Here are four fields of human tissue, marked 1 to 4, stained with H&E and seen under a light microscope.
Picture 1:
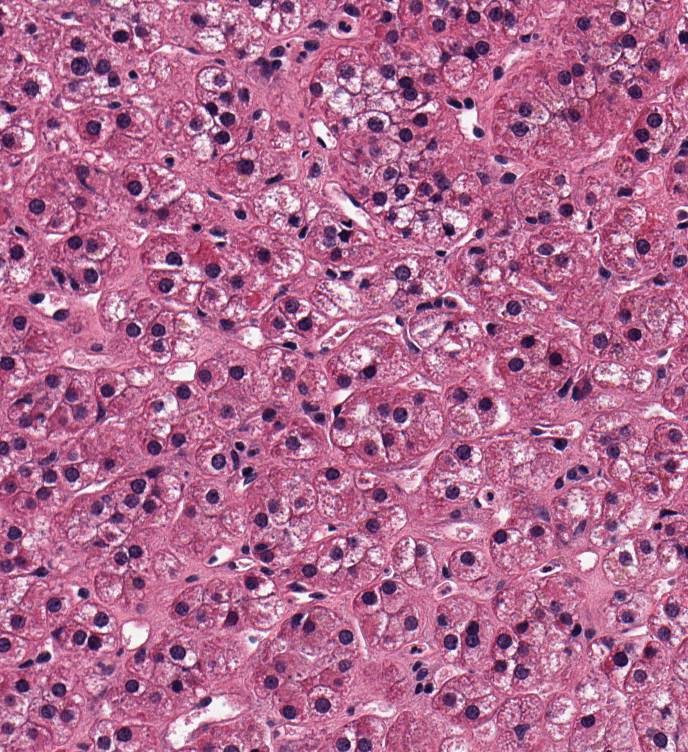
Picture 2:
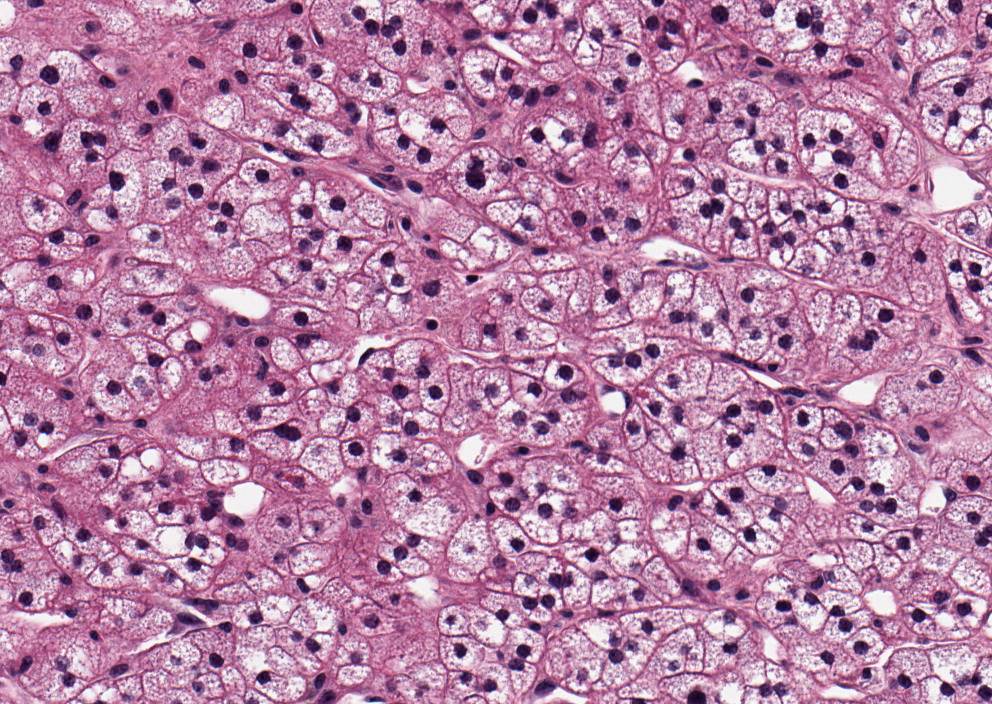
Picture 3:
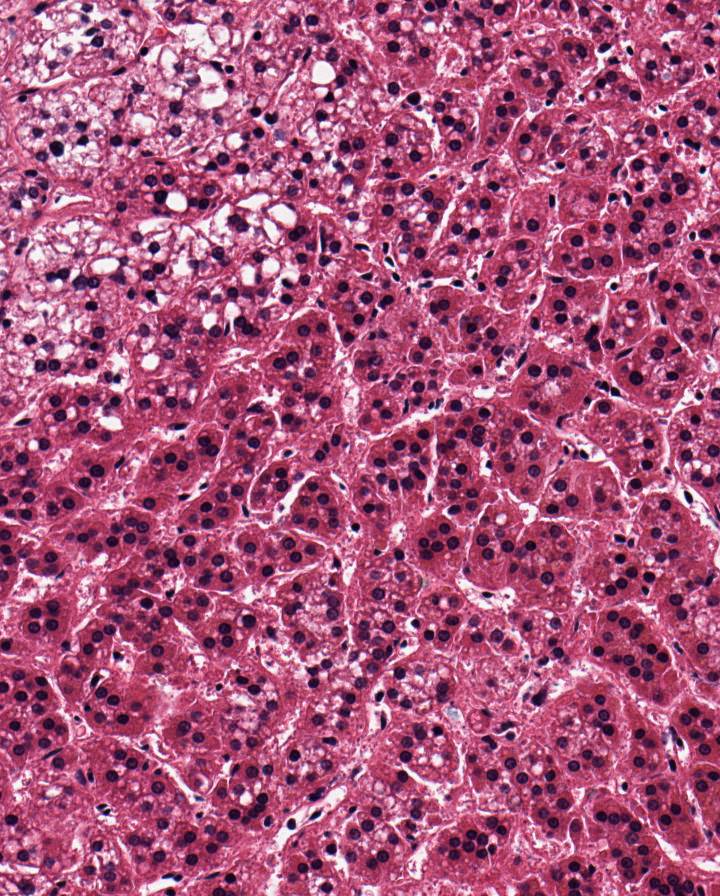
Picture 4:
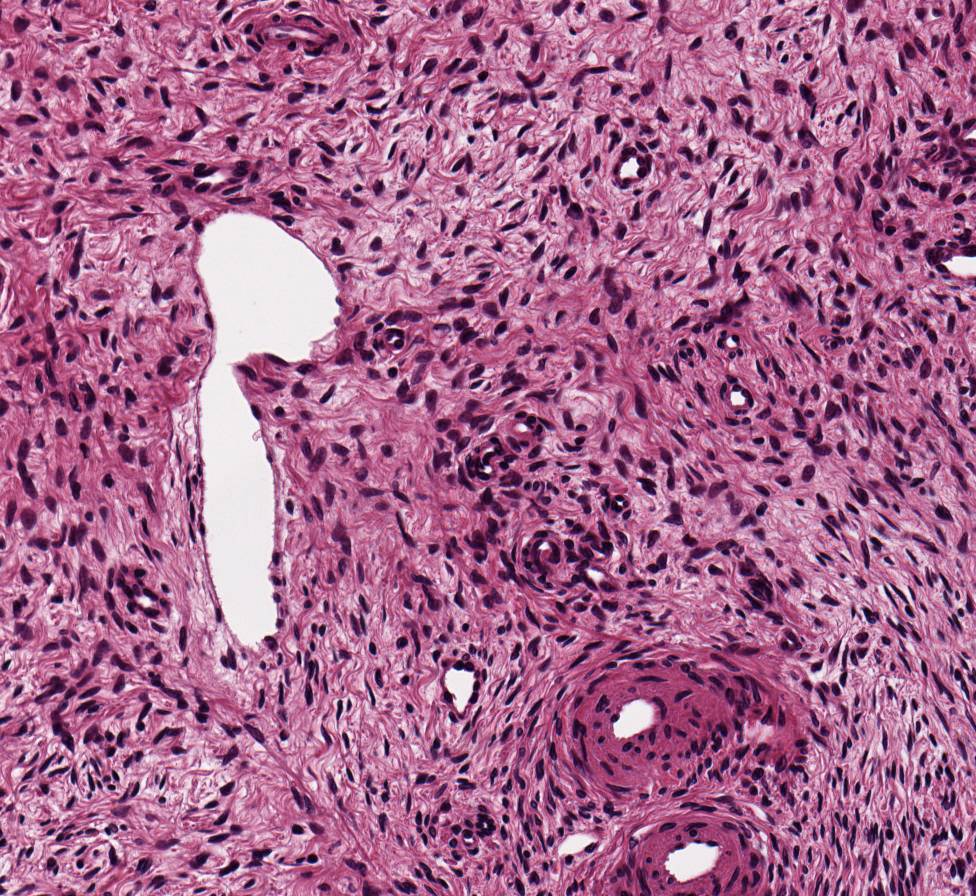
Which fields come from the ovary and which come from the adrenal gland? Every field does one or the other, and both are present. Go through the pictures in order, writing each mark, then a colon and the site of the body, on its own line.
1: adrenal gland
2: adrenal gland
3: adrenal gland
4: ovary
